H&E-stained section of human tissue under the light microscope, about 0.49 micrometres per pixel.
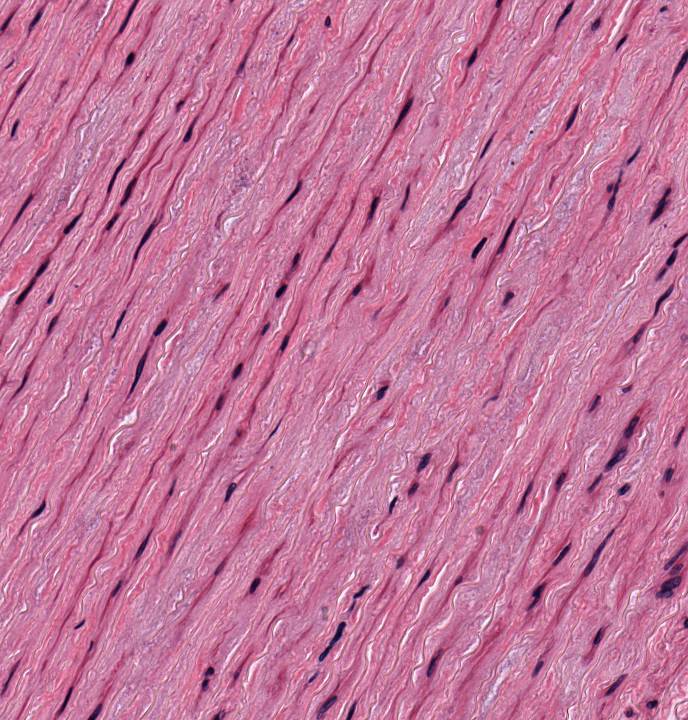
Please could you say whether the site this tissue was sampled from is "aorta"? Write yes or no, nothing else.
yes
